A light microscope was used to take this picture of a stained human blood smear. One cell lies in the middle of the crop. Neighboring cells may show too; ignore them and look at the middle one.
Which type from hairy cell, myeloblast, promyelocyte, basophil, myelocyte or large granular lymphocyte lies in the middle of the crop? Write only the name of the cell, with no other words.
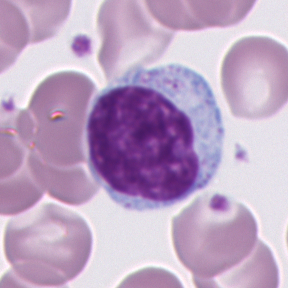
large granular lymphocyte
